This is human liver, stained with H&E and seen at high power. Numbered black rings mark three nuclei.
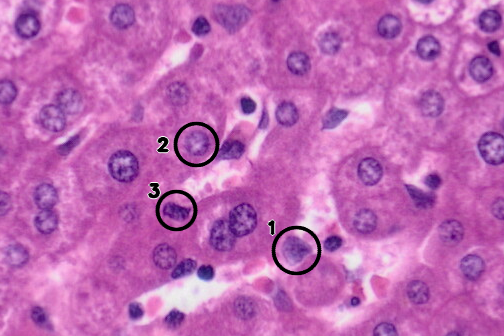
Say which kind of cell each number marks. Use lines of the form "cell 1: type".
cell 1: endothelial cell
cell 2: hepatocyte
cell 3: fibroblast or stellate cell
